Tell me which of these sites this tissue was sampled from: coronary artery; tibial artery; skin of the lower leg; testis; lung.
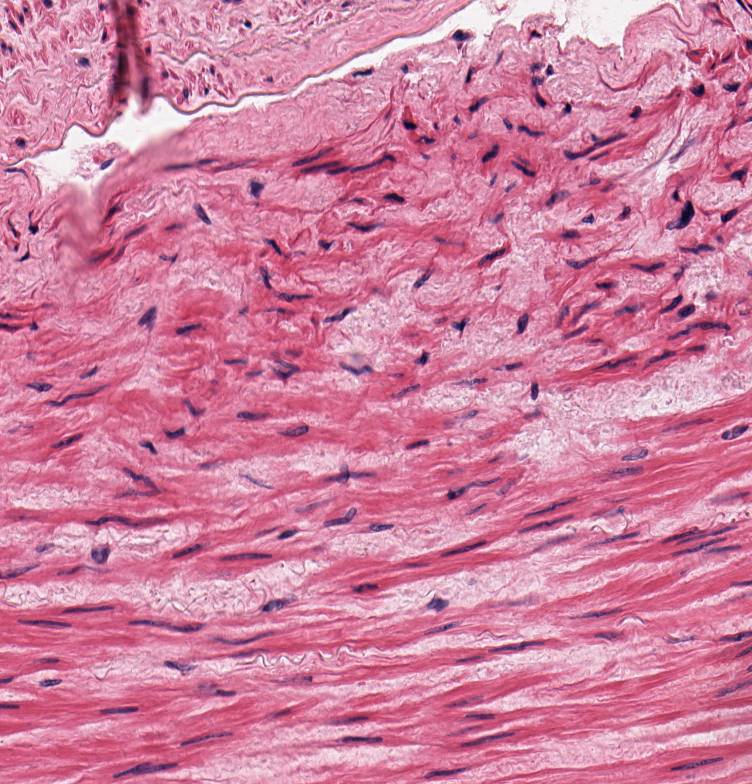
tibial artery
